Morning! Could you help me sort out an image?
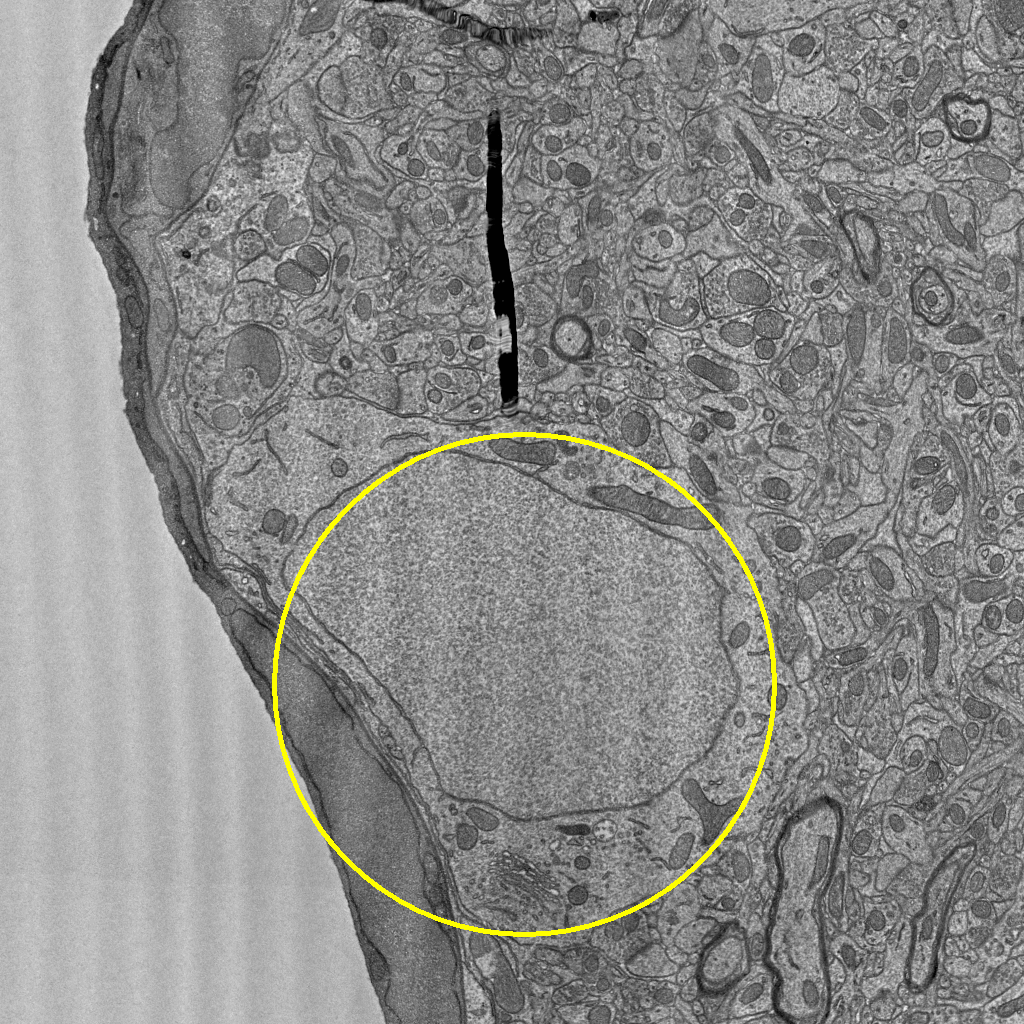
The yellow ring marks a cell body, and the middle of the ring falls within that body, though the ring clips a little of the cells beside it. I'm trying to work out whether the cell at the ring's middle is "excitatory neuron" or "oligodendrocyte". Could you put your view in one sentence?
The cell body at the ring's middle is that of an excitatory neuron.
